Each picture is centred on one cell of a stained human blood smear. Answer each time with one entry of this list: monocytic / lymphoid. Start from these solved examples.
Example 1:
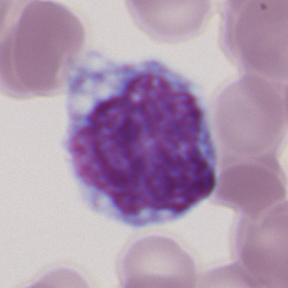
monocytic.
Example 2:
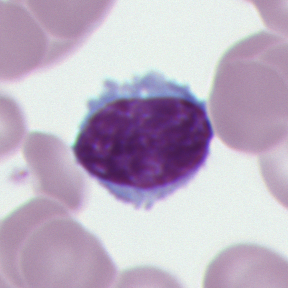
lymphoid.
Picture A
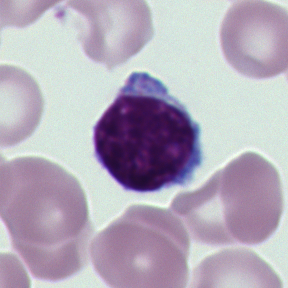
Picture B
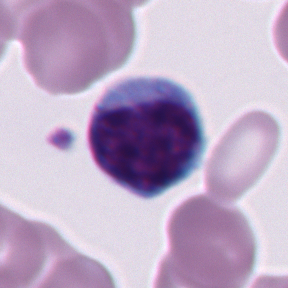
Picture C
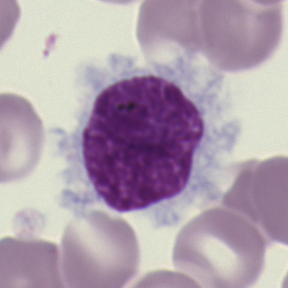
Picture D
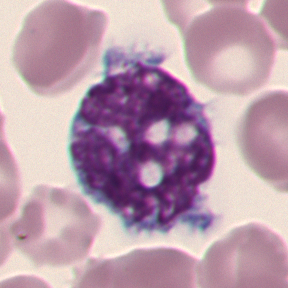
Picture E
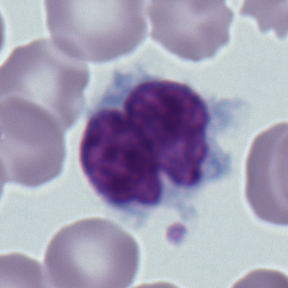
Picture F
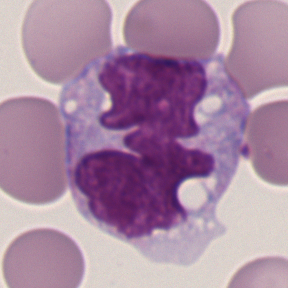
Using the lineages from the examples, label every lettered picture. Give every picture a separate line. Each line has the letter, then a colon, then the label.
A: lymphoid.
B: lymphoid.
C: lymphoid.
D: monocytic.
E: lymphoid.
F: monocytic.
